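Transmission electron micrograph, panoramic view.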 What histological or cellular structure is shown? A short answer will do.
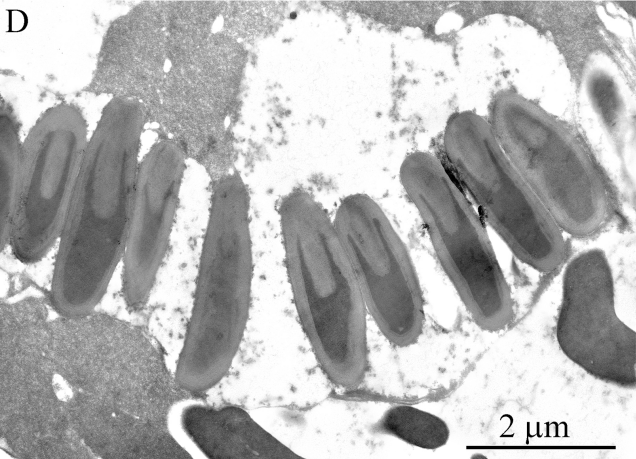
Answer: mature pseudocnidae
